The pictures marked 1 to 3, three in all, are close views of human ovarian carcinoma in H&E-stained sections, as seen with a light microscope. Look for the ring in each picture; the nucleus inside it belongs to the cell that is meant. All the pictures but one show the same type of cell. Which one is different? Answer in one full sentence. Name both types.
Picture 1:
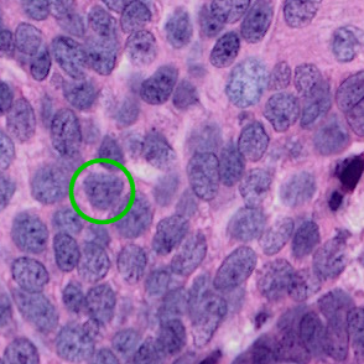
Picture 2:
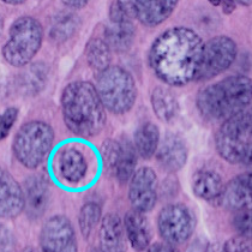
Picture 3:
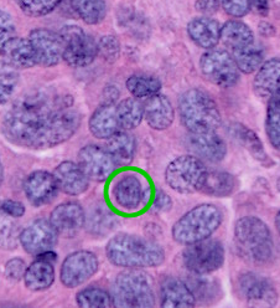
The different one is picture 2; it shows a “macrophage or monocyte”, whereas all the others show carcinoma cells.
